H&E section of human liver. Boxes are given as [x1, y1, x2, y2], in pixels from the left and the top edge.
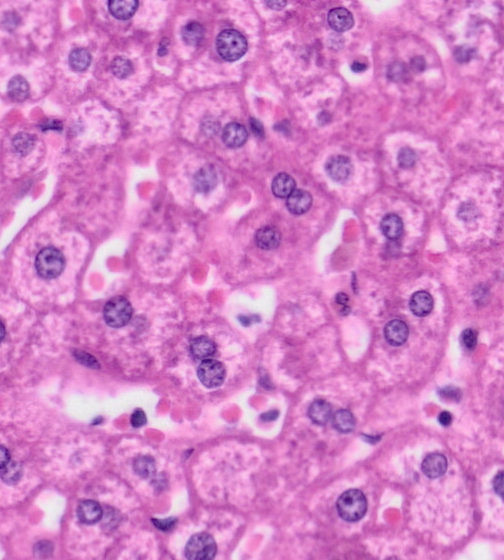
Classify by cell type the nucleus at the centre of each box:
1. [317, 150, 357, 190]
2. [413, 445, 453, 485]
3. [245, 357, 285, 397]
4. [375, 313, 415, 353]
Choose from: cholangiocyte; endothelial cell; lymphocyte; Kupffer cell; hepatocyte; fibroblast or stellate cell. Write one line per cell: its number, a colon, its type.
1: hepatocyte
2: hepatocyte
3: Kupffer cell
4: hepatocyte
